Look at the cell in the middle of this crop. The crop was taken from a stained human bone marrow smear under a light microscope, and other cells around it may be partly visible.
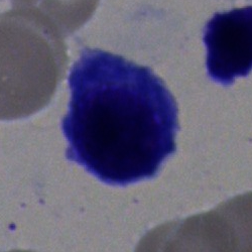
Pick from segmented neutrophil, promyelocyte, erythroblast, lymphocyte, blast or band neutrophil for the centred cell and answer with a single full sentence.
The cell found in the middle of this crop is an erythroblast.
